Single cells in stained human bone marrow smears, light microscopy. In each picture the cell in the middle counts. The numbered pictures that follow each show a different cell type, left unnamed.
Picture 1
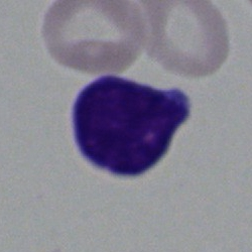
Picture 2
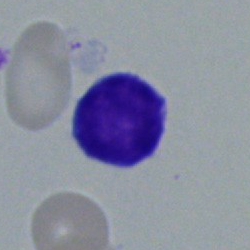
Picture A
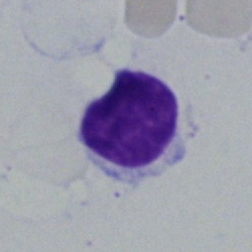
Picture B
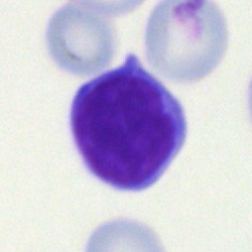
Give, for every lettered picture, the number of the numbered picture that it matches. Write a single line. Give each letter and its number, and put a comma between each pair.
A 2, B 2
